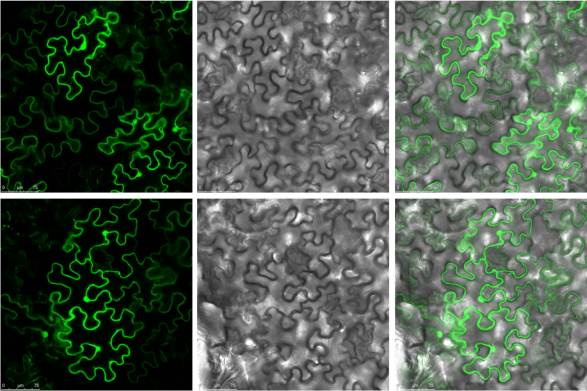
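Leaf epidermis with pavement cells of wavy, interlocking, jigsaw-like outlines, tightly fitted in one layer. Green fluorescence traces the cell margins as thin continuous lines, with some brighter spots along them; the cell interiors are largely dark.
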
